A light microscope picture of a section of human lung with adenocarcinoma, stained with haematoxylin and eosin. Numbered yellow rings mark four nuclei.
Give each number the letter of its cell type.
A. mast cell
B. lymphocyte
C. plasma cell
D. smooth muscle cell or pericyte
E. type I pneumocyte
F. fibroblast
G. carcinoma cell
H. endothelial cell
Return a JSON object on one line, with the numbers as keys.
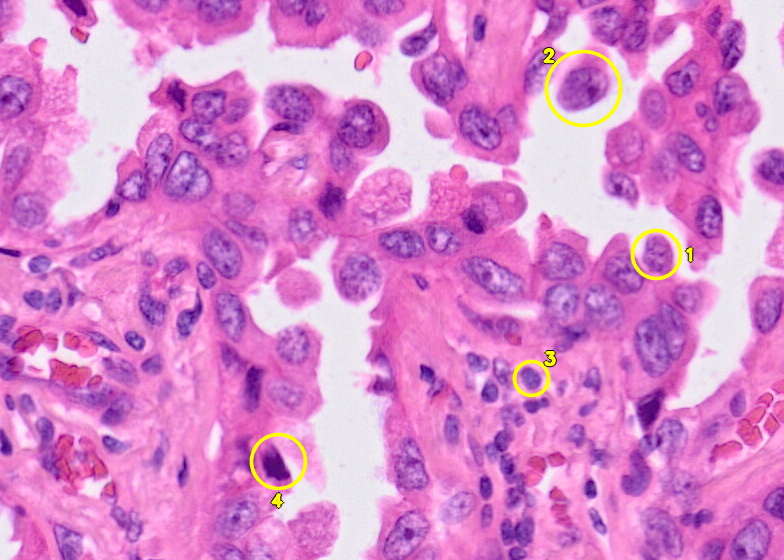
{"1": "G", "2": "G", "3": "B", "4": "G"}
